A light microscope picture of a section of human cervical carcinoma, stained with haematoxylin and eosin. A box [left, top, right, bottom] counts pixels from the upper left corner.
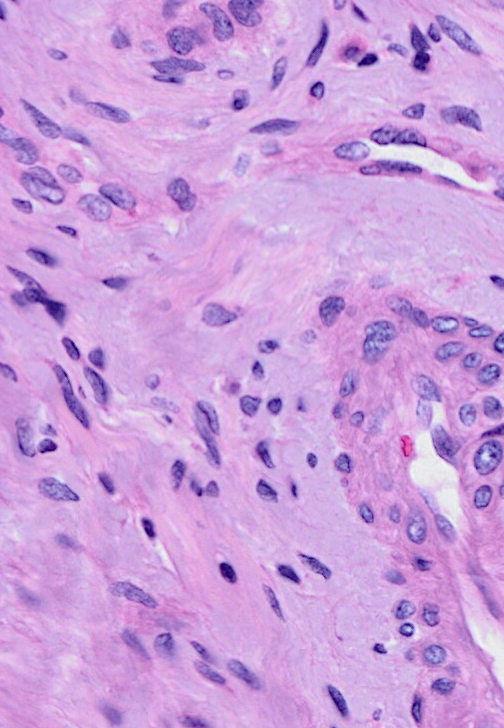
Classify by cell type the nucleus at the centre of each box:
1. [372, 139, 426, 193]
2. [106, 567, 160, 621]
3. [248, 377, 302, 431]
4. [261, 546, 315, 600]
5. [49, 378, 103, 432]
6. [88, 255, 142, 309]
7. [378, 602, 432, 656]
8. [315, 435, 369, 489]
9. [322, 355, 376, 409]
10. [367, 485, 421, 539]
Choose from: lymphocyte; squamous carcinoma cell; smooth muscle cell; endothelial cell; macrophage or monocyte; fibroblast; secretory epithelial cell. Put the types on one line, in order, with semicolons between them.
endothelial cell; smooth muscle cell; fibroblast; fibroblast; fibroblast; fibroblast; smooth muscle cell; smooth muscle cell; smooth muscle cell; smooth muscle cell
